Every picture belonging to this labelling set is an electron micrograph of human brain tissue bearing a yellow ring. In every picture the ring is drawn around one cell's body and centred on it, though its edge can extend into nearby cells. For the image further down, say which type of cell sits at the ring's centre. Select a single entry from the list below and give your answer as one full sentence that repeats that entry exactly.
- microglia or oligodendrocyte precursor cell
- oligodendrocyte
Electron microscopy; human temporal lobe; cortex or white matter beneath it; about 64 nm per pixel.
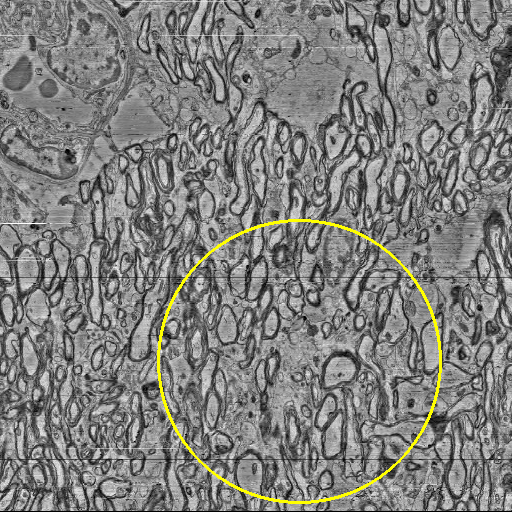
In the picture, a microglial cell or oligodendrocyte precursor cell is the cell at the centre of the yellow ring.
